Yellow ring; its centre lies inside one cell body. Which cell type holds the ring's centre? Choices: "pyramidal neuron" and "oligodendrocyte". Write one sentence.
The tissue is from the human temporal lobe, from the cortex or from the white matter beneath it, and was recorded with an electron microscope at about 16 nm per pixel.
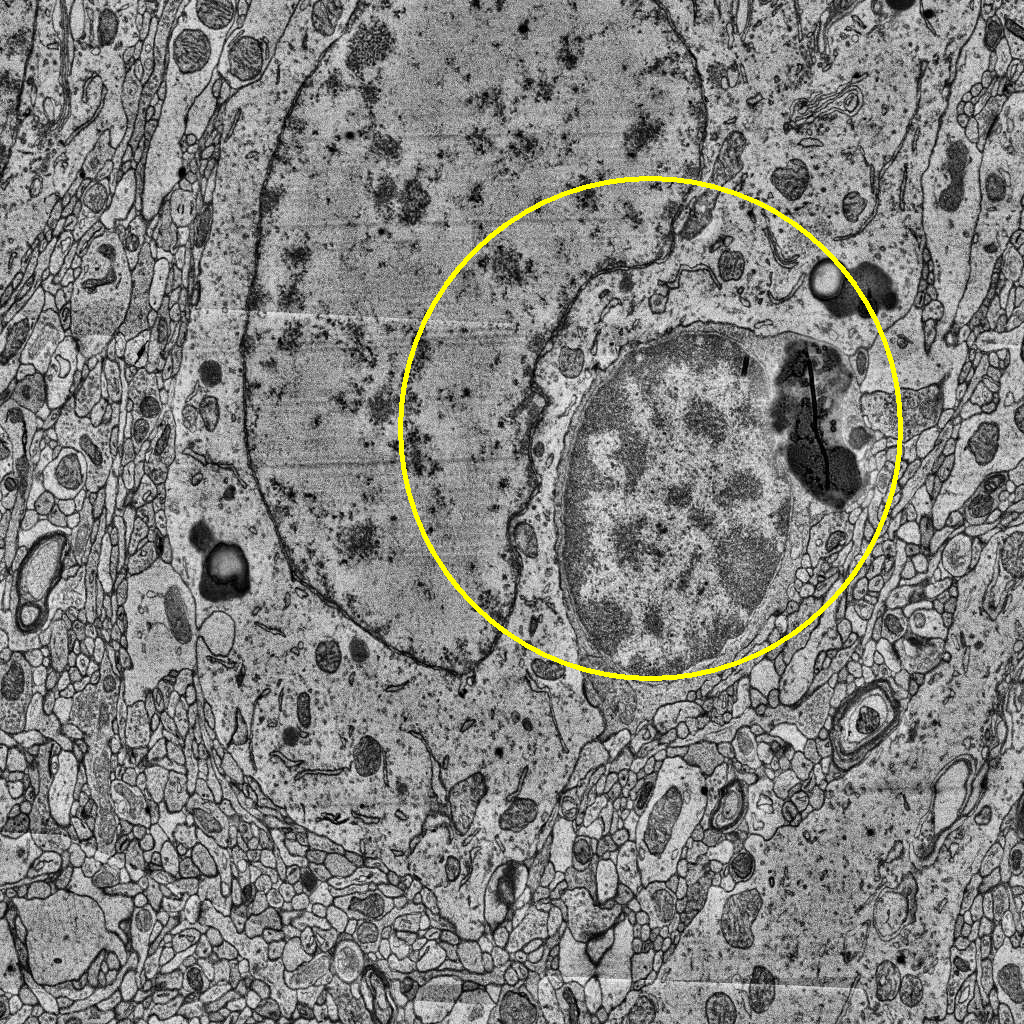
At the centre of the ring sits an oligodendrocyte.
